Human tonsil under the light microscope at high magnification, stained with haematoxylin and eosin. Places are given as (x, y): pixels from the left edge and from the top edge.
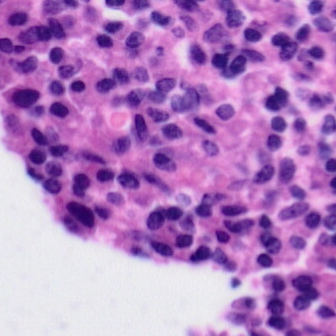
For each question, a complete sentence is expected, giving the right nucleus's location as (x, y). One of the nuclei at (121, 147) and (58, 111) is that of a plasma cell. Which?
That would be the nucleus at (58, 111); it belongs to a plasma cell.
